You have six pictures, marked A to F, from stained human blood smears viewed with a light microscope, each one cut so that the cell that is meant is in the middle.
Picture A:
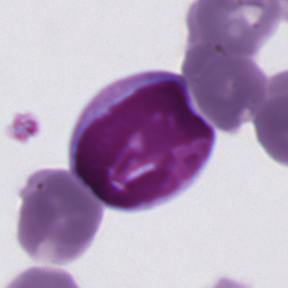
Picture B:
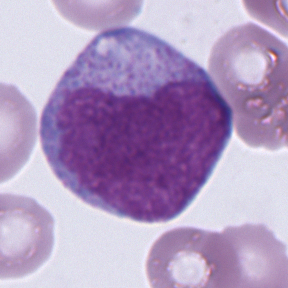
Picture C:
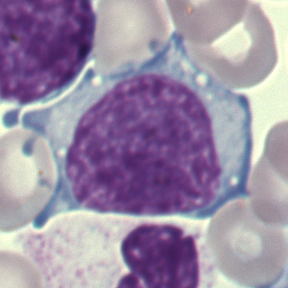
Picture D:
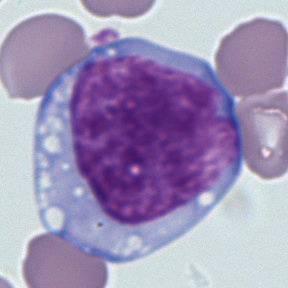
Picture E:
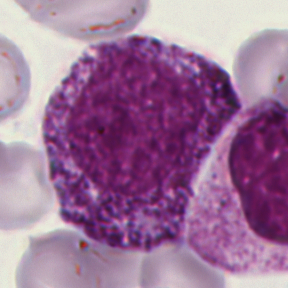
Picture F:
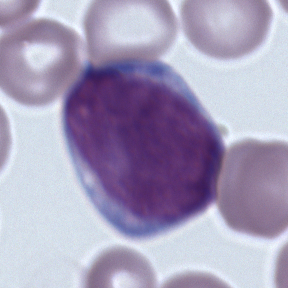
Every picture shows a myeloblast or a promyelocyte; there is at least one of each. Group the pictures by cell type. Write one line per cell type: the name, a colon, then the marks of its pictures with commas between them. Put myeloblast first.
myeloblast: A, C, D, F
promyelocyte: B, E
